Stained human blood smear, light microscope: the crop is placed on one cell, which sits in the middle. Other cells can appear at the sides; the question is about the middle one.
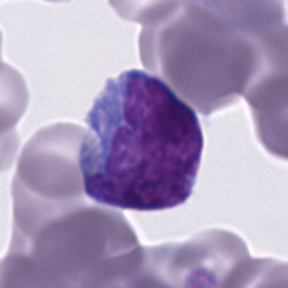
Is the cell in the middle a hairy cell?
no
